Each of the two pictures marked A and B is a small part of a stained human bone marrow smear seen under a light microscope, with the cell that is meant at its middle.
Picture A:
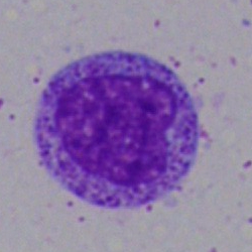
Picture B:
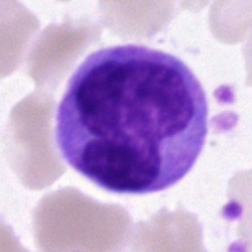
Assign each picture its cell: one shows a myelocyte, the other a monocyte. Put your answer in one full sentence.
Picture A is of a myelocyte, and picture B is of a monocyte.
